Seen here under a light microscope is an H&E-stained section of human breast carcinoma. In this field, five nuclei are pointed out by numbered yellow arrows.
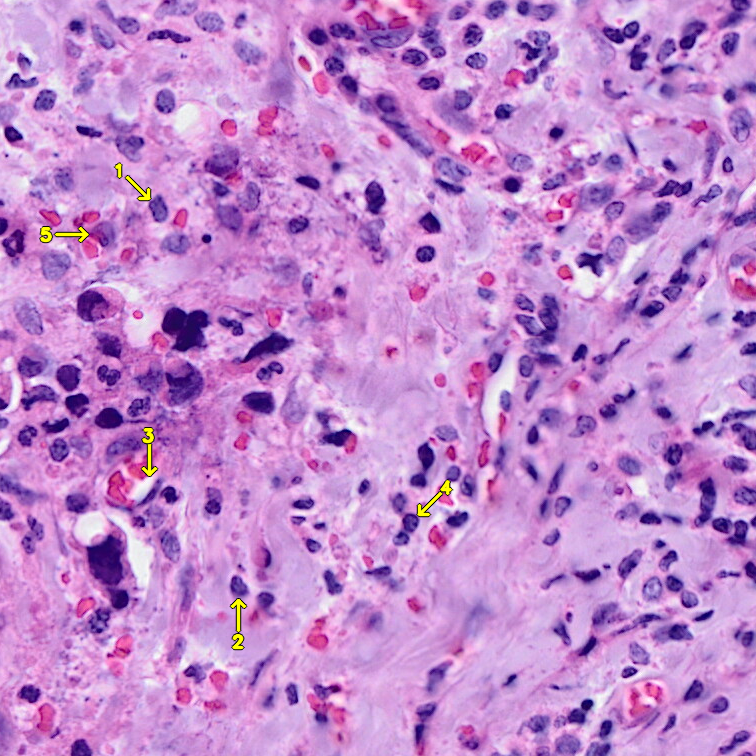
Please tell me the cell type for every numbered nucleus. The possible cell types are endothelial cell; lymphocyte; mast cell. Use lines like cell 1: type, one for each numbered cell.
cell 1: mast cell
cell 2: lymphocyte
cell 3: endothelial cell
cell 4: lymphocyte
cell 5: endothelial cell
